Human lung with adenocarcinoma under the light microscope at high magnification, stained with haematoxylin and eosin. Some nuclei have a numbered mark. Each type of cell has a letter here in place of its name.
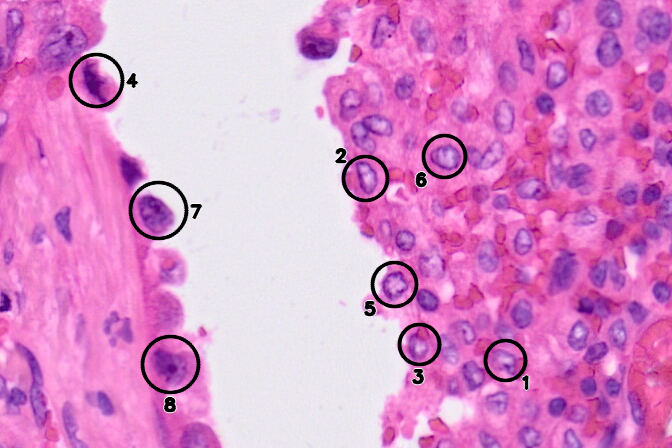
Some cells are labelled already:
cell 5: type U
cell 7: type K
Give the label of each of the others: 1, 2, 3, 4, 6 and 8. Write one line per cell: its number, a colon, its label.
1: type U
2: type U
3: type U
4: type K
6: type U
8: type K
